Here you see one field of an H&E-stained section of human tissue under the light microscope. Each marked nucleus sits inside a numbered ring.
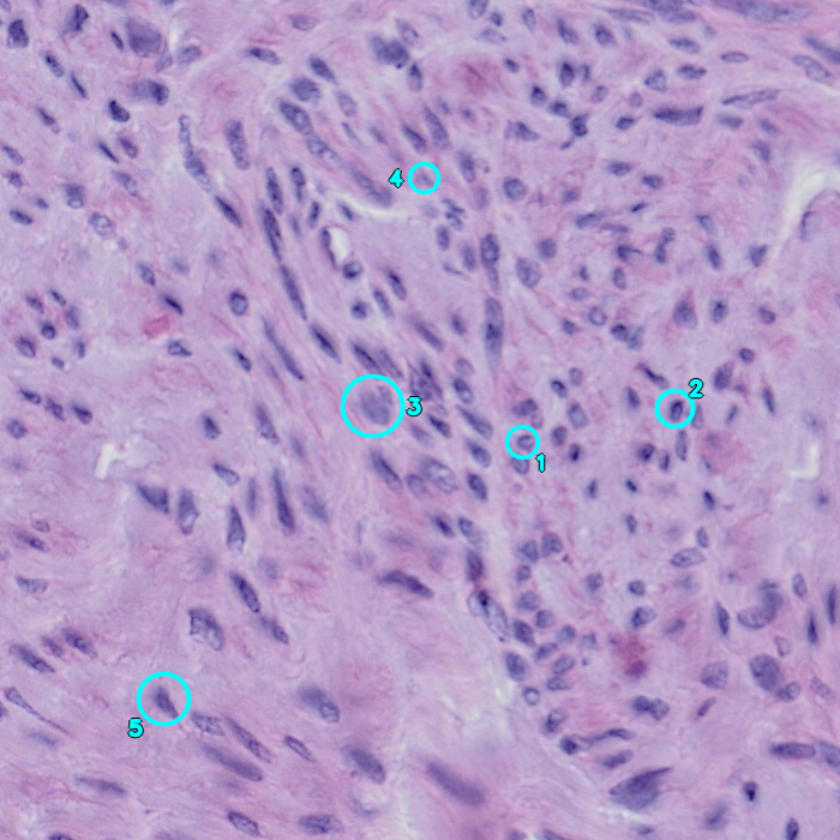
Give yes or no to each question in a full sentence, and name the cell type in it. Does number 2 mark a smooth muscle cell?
No, cell 2 is not a smooth muscle cell. It is a fibroblast.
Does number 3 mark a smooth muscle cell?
No, instead of a smooth muscle cell, the cell with number 3 is a fibroblast.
